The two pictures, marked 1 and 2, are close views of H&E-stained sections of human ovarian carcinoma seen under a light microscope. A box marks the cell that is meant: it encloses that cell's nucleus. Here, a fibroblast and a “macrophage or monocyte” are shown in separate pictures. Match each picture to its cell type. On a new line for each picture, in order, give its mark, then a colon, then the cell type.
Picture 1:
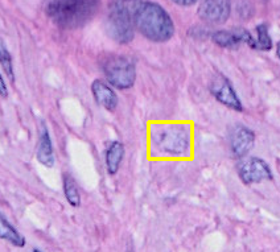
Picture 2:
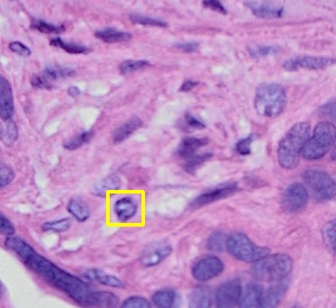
1: fibroblast
2: macrophage or monocyte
